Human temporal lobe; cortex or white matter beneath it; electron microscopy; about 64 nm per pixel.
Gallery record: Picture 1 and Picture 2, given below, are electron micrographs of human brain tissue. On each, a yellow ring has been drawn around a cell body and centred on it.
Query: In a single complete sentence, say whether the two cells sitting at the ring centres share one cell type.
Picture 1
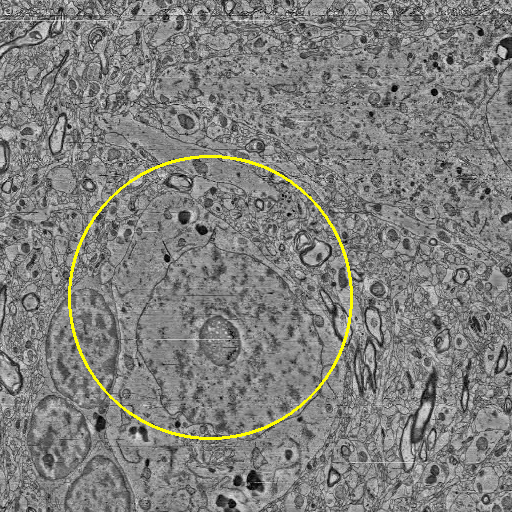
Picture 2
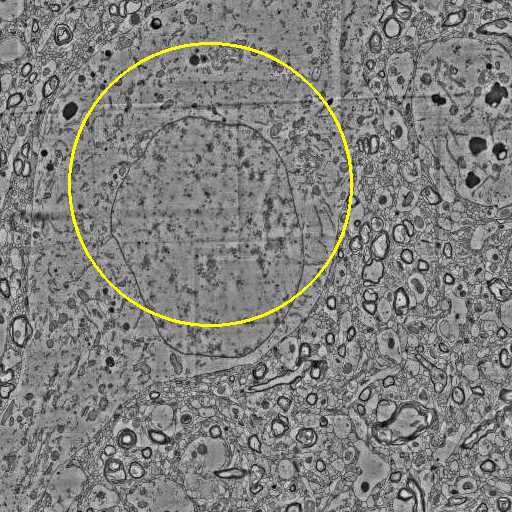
Yes, in both pictures the cell at the ring's centre is of one and the same type.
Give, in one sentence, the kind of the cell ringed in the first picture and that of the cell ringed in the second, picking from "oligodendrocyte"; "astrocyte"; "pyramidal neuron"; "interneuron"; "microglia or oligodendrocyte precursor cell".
Both cells are the same kind, each one being a pyramidal neuron.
